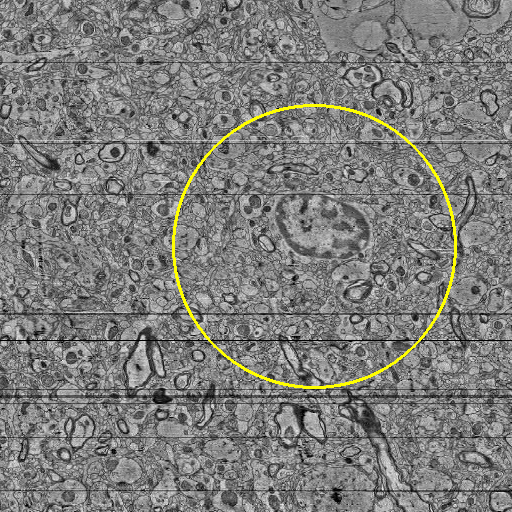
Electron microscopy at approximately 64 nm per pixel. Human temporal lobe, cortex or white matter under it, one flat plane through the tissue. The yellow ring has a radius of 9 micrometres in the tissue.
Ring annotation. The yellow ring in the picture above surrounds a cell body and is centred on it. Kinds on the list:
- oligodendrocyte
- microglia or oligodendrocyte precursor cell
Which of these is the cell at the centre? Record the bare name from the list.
microglia or oligodendrocyte precursor cell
